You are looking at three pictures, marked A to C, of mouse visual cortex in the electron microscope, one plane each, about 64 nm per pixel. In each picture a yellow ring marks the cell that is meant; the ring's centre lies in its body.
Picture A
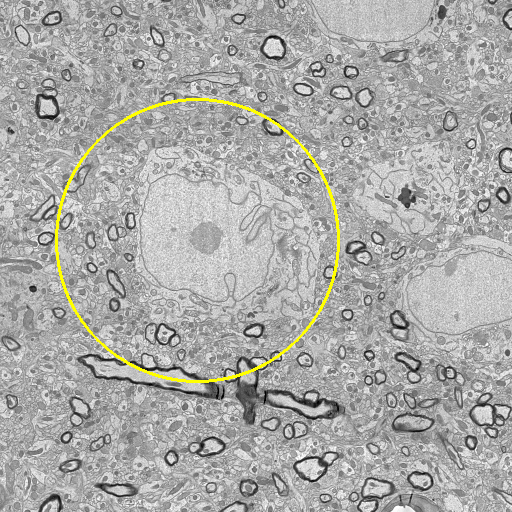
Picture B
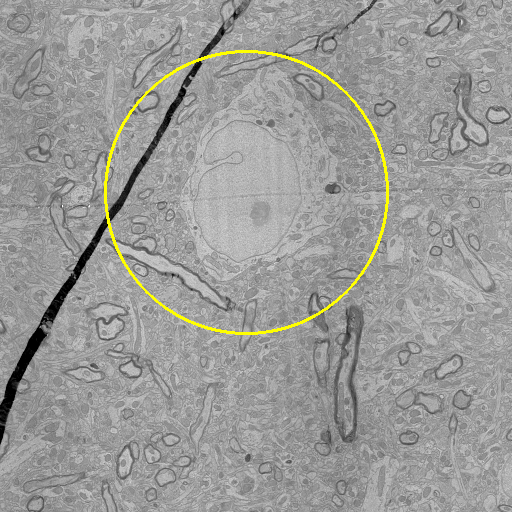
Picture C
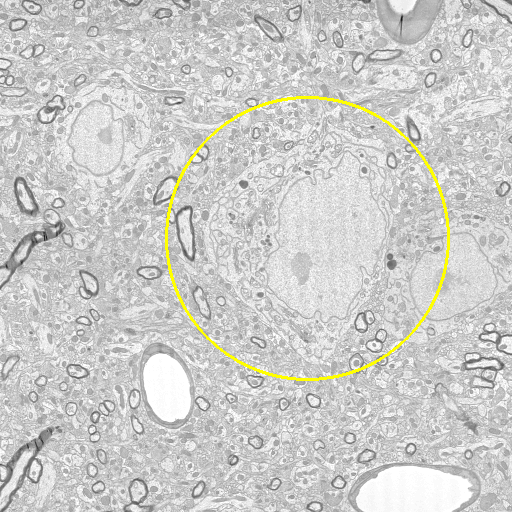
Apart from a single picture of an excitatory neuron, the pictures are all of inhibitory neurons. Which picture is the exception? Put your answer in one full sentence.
The excitatory neuron is the one in picture B.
